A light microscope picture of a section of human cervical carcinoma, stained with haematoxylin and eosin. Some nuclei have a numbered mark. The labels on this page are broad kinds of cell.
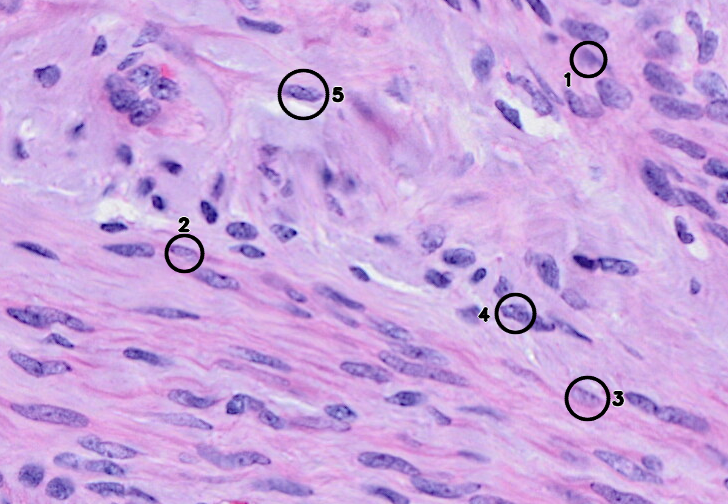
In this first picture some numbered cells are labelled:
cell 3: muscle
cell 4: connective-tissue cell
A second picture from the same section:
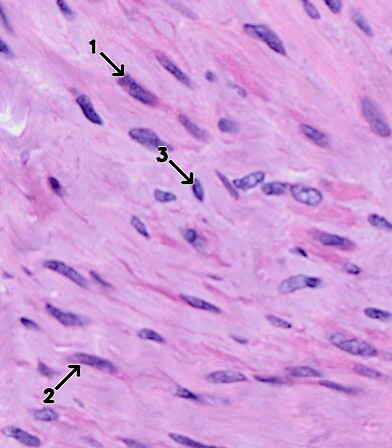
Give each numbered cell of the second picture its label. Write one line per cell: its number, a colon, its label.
1: muscle
2: muscle
3: connective-tissue cell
